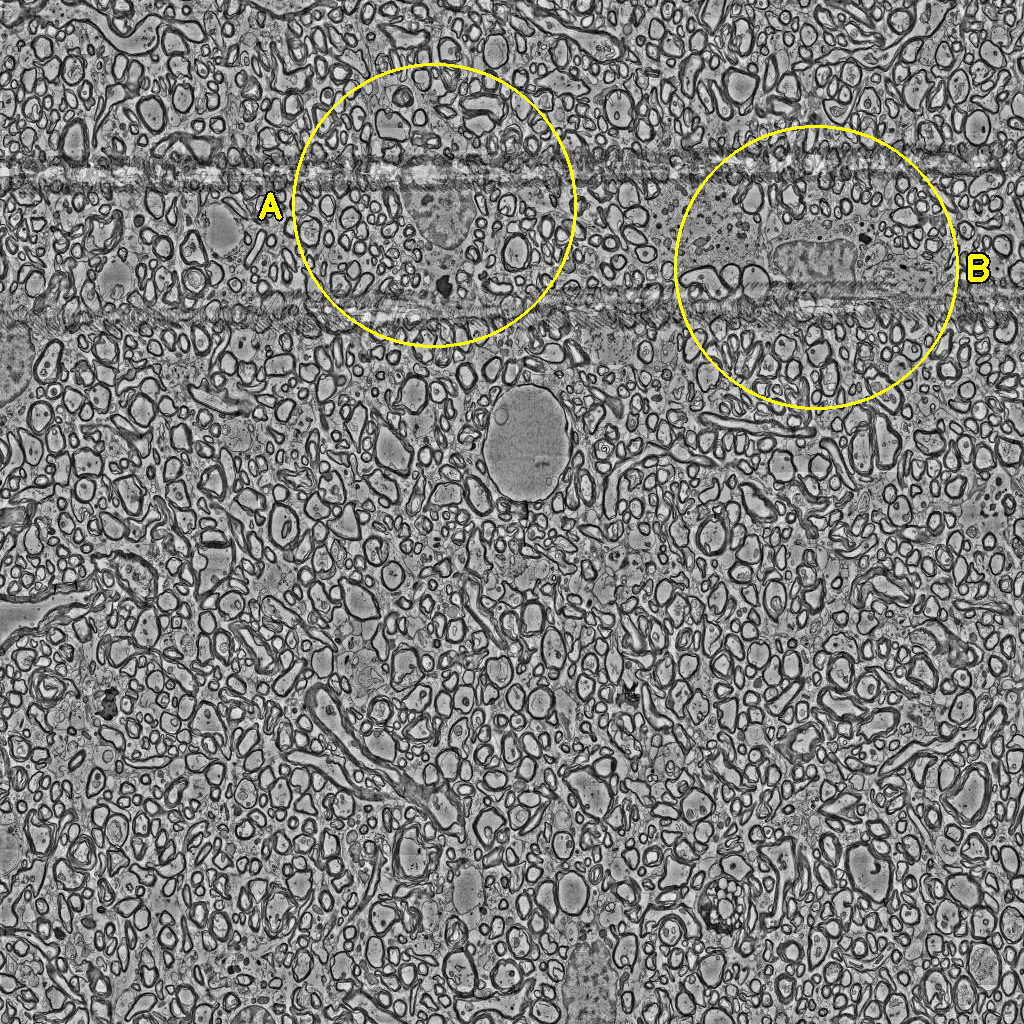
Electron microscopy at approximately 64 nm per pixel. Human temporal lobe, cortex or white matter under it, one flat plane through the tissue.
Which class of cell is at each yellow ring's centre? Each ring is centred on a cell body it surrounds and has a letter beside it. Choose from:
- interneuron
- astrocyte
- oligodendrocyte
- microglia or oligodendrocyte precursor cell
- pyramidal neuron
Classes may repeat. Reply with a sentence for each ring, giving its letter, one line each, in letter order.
The ring lettered A is centred on a microglial cell or oligodendrocyte precursor cell.
The ring lettered B is centred on a microglial cell or oligodendrocyte precursor cell.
